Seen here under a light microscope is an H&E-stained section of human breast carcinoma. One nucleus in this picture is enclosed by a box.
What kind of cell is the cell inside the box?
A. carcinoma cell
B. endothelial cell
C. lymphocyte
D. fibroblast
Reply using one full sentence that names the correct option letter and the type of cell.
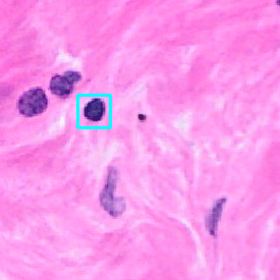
The correct choice is option C; the cell inside the box is a lymphocyte.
